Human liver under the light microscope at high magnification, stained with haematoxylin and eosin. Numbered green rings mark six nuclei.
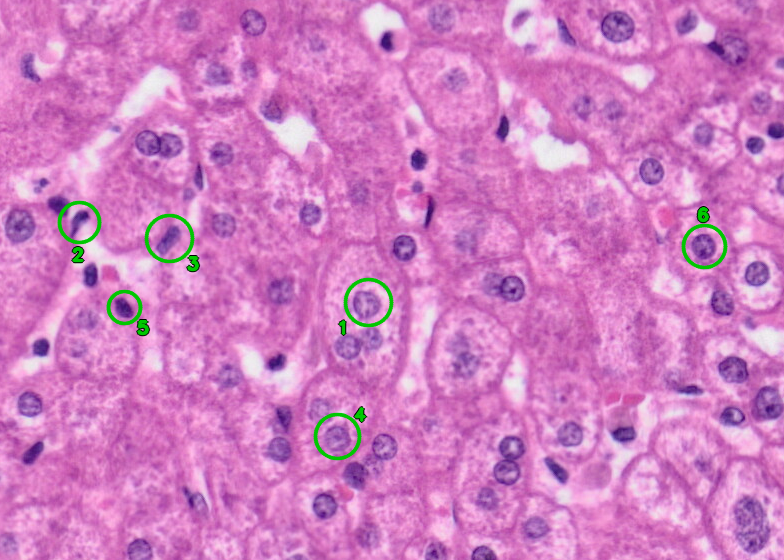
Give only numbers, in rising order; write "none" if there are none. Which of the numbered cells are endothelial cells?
2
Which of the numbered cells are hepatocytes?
1, 4, 6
